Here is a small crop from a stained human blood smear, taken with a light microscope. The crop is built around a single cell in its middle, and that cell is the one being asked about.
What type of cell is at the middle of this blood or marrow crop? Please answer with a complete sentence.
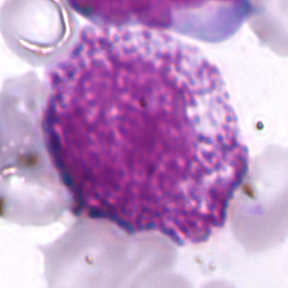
The cell in the exact centre of the crop is a promyelocyte.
